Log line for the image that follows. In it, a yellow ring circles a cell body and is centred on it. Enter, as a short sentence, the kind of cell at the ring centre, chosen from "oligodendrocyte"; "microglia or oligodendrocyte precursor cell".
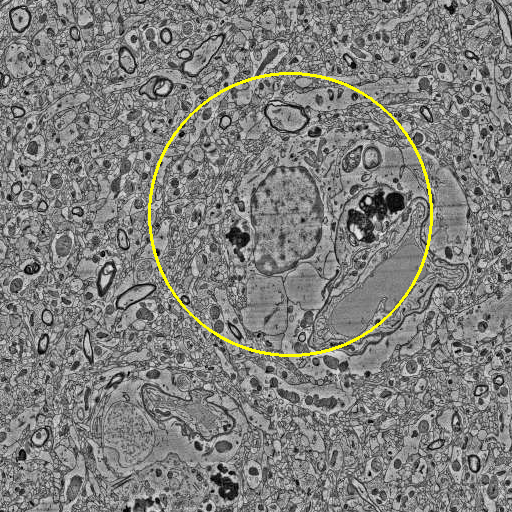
The ring centre is occupied by a microglial cell or oligodendrocyte precursor cell.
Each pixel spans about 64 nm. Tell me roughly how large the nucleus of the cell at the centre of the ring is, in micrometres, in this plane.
Roughly 7 by 5 micrometres in this plane, for the nucleus of the ringed cell.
